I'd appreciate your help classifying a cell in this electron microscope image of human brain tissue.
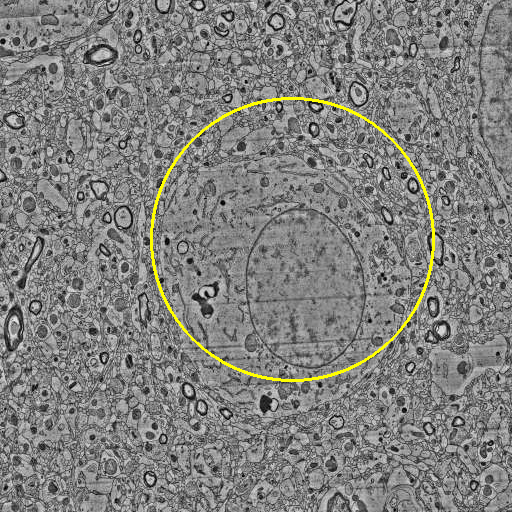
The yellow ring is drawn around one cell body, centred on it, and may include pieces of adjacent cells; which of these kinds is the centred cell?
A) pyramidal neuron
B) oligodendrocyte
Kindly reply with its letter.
A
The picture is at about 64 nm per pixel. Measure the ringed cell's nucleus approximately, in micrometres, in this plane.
About 10 by 8 micrometres in this plane.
